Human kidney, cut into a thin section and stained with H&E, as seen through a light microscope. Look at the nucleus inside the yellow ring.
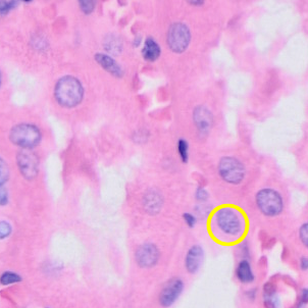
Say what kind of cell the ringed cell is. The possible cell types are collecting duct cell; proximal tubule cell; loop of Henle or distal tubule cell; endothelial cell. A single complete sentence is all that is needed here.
In this section, the ringed cell is a collecting duct cell.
